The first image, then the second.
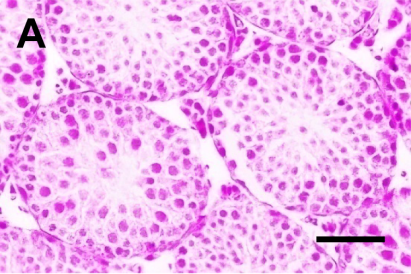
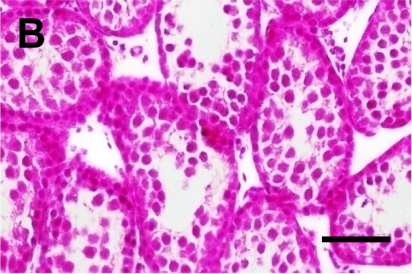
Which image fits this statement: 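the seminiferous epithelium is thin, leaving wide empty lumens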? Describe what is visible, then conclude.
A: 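First image: tubules are filled by many layers of cells with little open lumen.
Hence: the second image.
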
